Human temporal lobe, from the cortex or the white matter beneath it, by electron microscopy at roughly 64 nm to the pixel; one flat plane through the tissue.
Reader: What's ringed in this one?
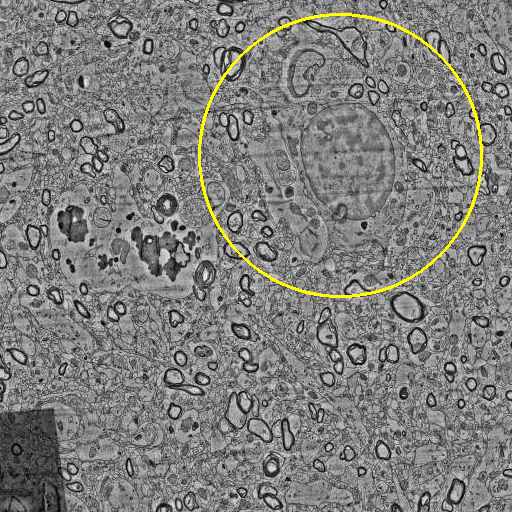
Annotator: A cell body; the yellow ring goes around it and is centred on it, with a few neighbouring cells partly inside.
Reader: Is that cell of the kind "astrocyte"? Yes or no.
no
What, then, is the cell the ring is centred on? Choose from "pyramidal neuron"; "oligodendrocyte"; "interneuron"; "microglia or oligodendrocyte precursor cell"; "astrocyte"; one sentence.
The cell this ring marks is an oligodendrocyte.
